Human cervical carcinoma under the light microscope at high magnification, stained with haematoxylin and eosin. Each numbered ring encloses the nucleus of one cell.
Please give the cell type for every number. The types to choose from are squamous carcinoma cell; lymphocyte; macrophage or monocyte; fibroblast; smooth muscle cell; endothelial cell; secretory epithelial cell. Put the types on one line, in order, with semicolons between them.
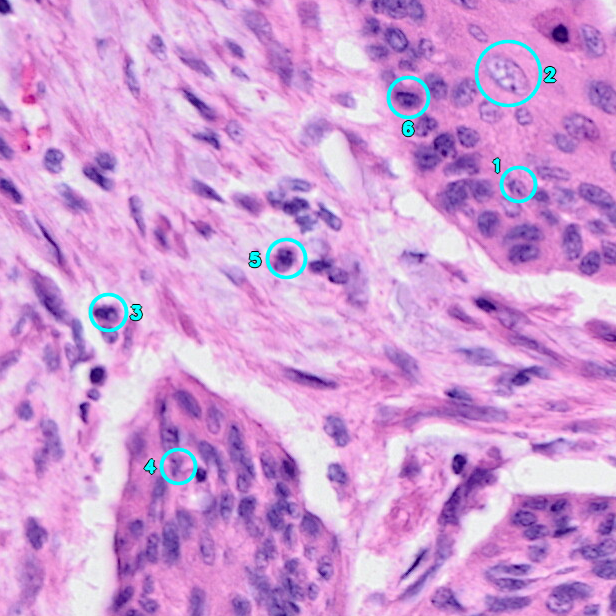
squamous carcinoma cell; squamous carcinoma cell; lymphocyte; squamous carcinoma cell; lymphocyte; squamous carcinoma cell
